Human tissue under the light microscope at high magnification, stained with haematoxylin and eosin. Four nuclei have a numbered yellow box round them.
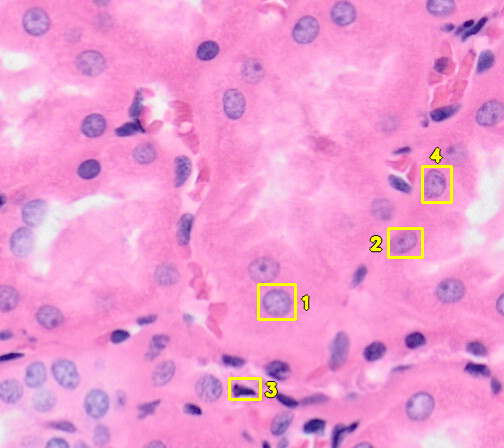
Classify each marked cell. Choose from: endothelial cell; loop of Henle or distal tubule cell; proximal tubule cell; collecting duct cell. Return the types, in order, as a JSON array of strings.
["proximal tubule cell", "proximal tubule cell", "loop of Henle or distal tubule cell", "proximal tubule cell"]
